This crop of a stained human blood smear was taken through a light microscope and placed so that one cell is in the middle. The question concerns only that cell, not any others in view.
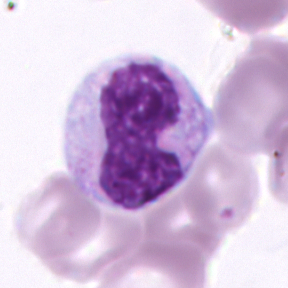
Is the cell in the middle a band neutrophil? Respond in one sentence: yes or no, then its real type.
Yes, the cell in the middle of the crop is a band neutrophil.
